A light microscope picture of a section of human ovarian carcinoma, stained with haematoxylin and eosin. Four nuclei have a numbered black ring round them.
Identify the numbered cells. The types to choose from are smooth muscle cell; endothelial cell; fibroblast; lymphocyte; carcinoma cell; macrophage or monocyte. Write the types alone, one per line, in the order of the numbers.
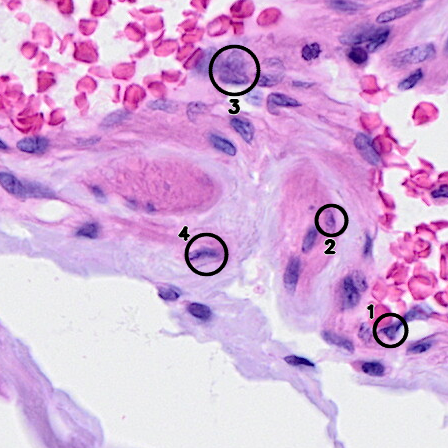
endothelial cell
smooth muscle cell
endothelial cell
endothelial cell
